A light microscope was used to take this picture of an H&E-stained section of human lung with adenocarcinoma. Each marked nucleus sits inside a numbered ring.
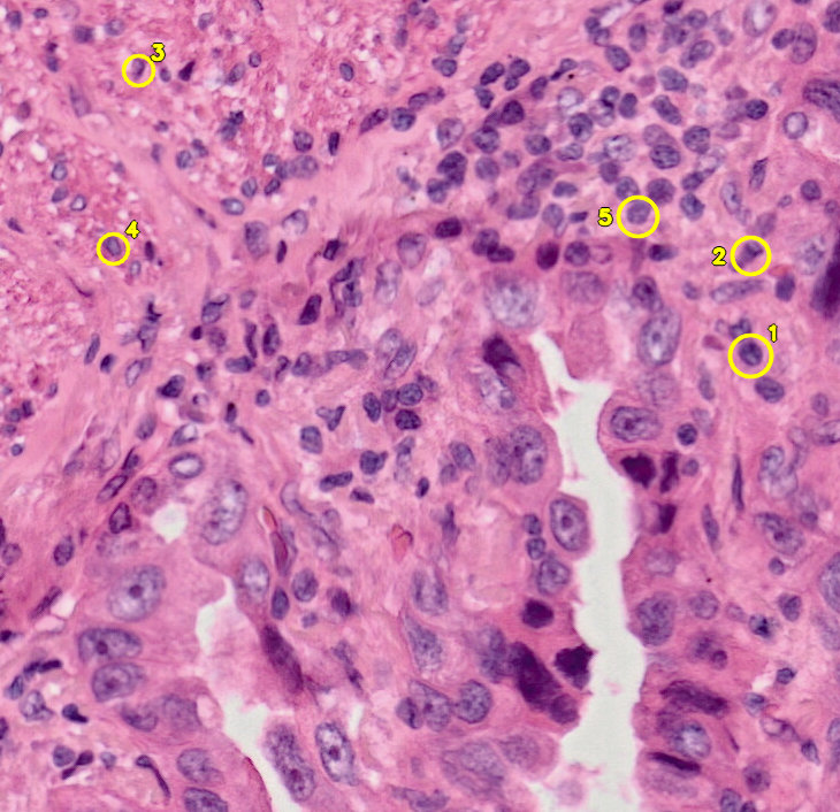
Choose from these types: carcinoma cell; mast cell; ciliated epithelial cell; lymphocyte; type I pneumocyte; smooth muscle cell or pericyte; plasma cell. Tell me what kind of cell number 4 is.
smooth muscle cell or pericyte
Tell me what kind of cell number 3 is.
smooth muscle cell or pericyte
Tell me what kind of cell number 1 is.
lymphocyte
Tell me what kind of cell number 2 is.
lymphocyte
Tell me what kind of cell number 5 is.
lymphocyte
